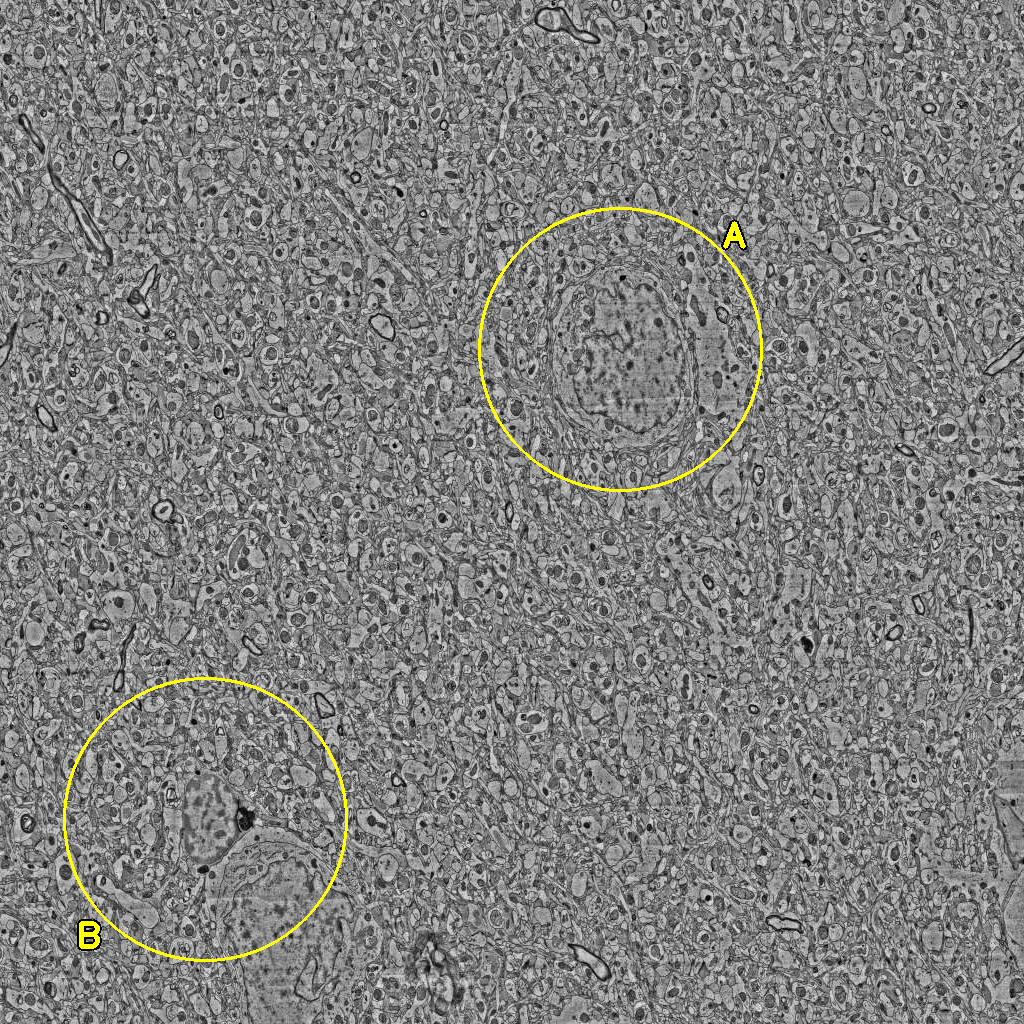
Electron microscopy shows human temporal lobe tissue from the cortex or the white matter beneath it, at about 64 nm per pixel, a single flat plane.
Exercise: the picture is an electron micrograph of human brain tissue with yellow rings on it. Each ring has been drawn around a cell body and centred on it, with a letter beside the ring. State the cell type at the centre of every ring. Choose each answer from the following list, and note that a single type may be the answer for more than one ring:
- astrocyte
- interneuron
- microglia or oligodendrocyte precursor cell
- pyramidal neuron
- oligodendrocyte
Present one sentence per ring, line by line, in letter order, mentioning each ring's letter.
Ring A shows an interneuron at its centre.
Ring B shows an oligodendrocyte at its centre.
